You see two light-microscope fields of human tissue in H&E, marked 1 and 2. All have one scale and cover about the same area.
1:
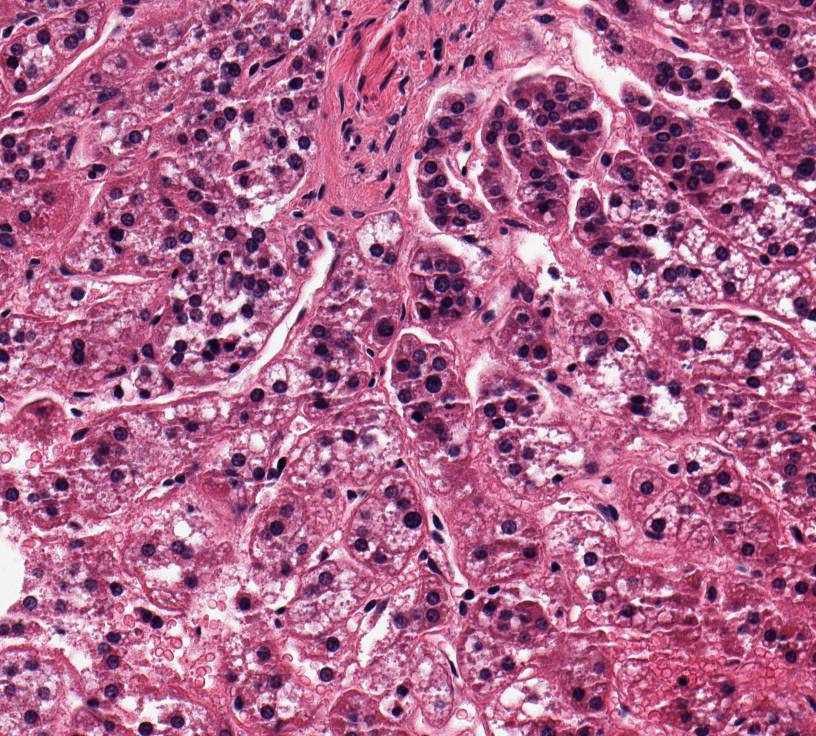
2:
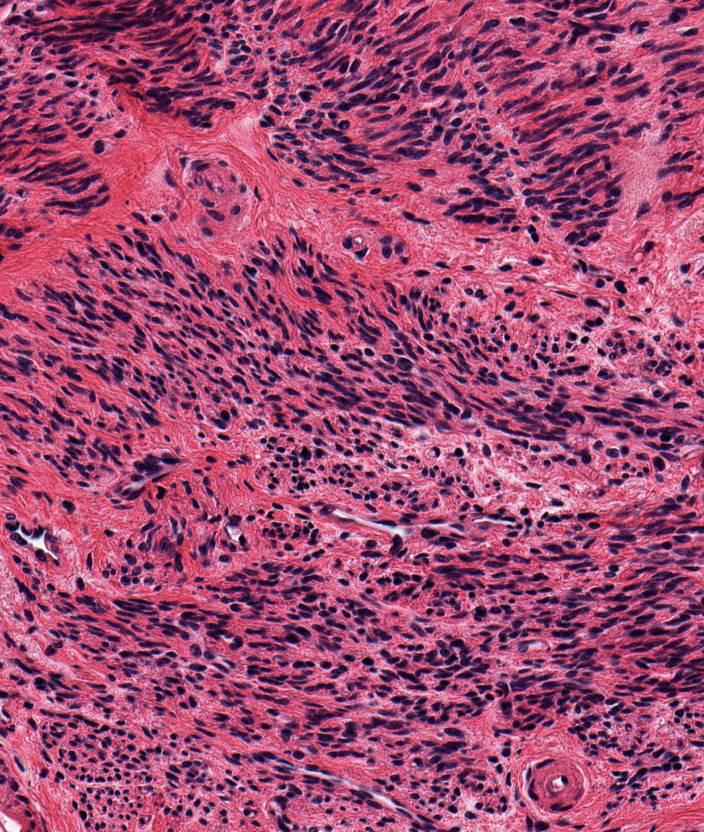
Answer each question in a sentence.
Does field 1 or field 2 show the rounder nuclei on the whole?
Rounder nuclei lie in field 1.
